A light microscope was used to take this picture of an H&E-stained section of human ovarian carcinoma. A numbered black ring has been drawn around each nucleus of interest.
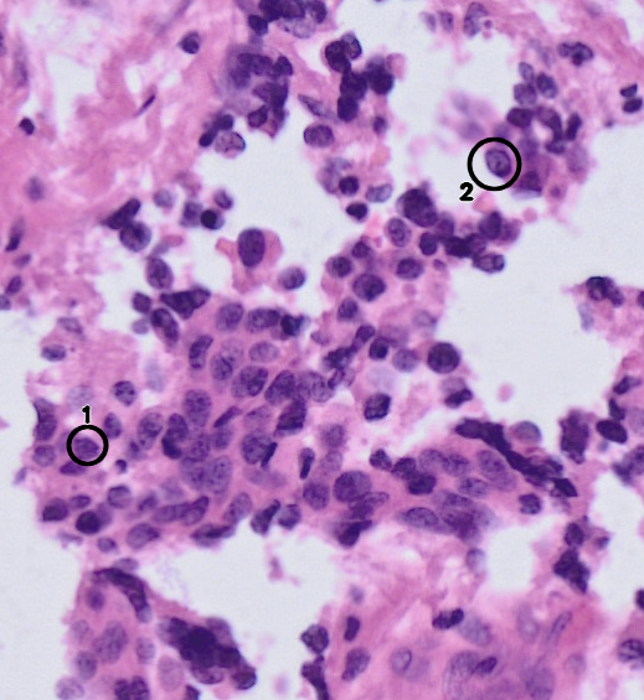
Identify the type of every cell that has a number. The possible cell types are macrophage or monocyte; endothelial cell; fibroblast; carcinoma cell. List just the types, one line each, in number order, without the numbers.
carcinoma cell
macrophage or monocyte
